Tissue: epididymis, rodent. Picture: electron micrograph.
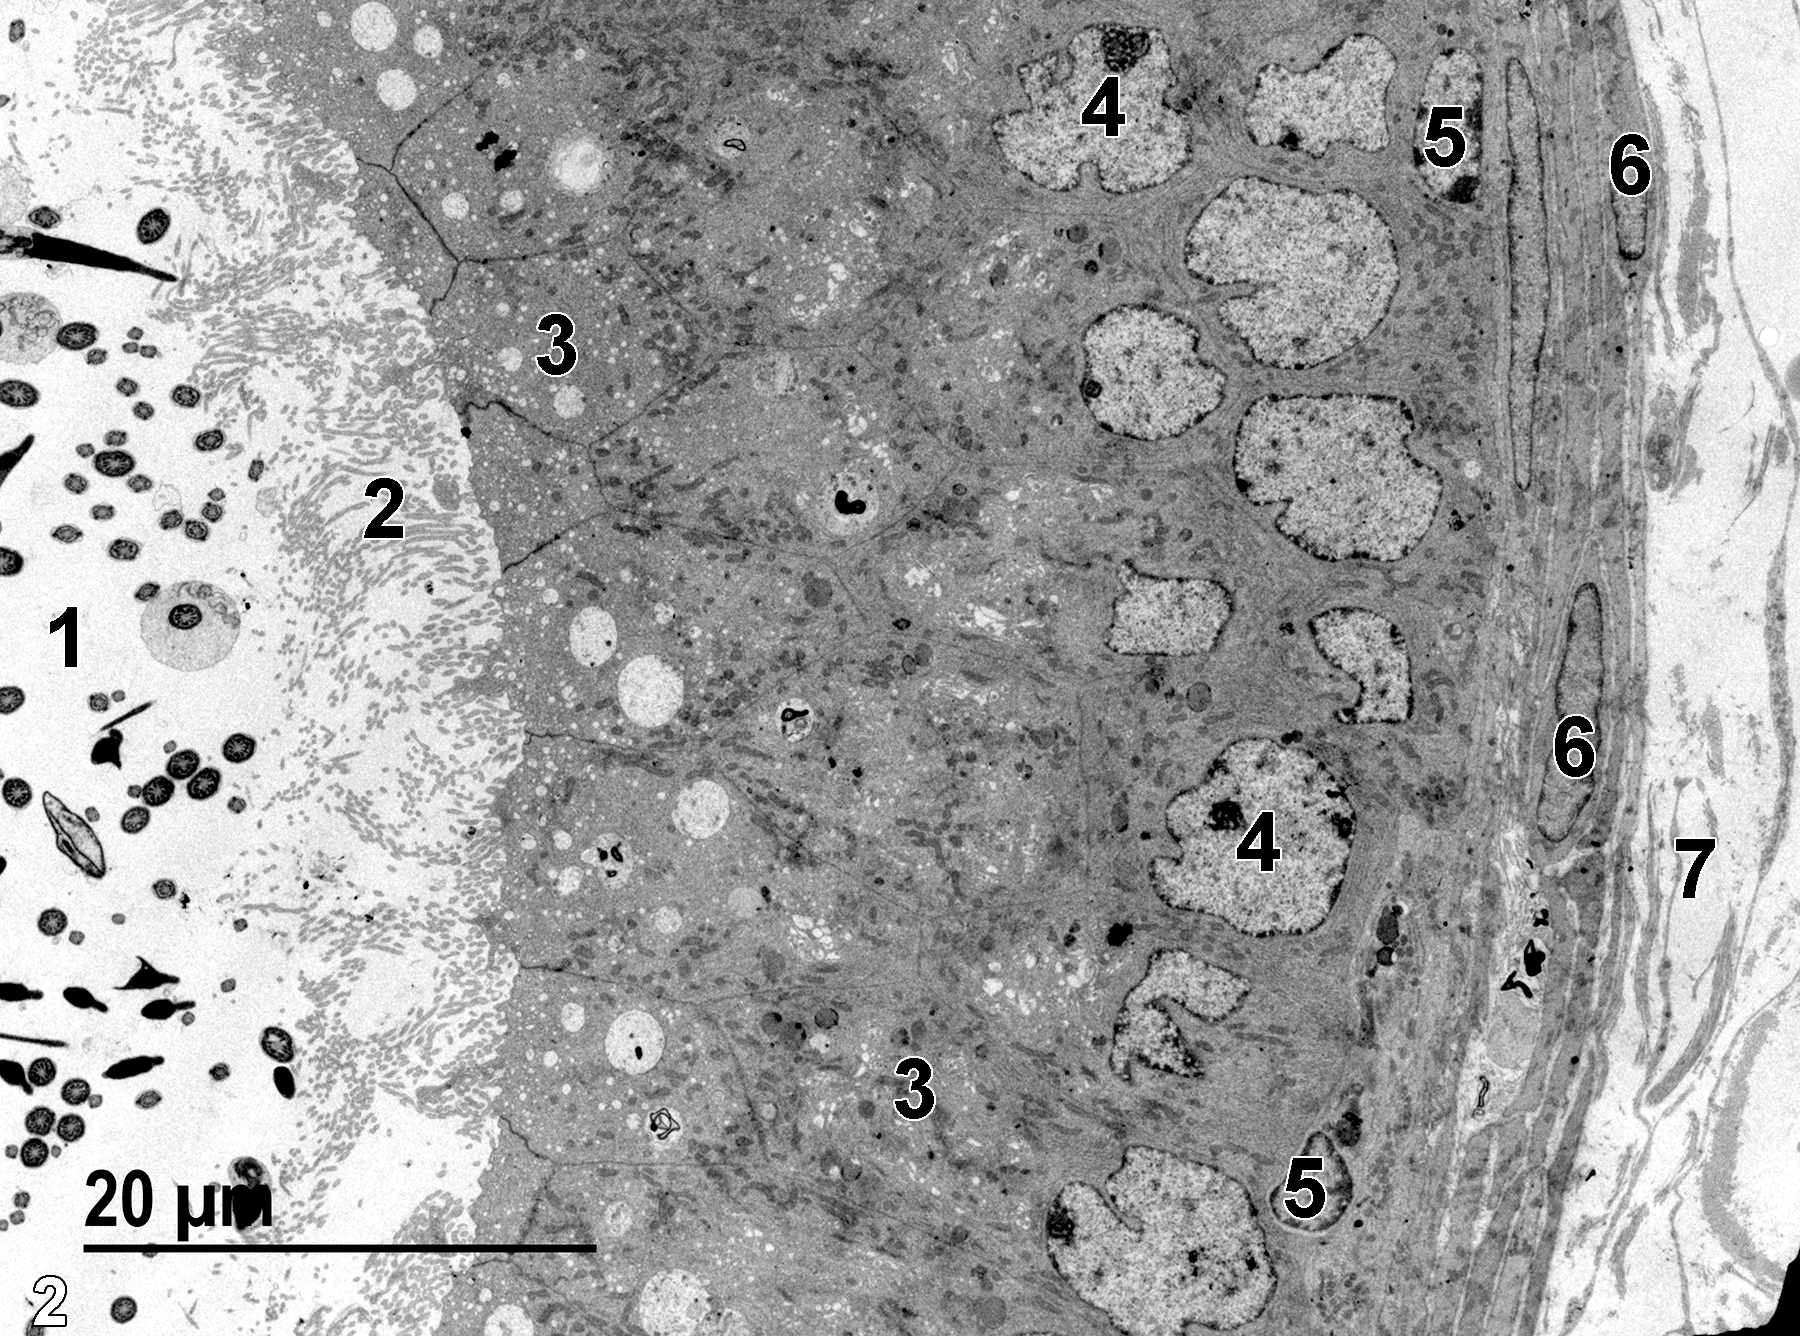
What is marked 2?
stereocilia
